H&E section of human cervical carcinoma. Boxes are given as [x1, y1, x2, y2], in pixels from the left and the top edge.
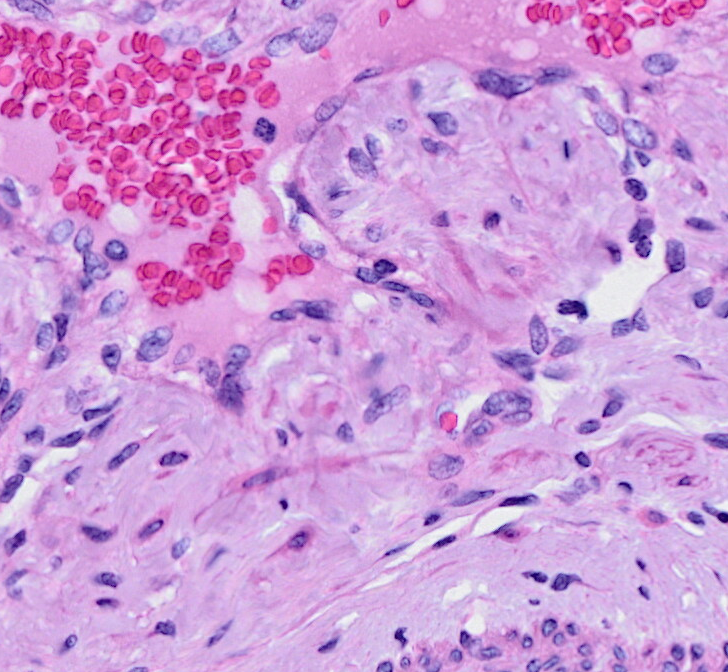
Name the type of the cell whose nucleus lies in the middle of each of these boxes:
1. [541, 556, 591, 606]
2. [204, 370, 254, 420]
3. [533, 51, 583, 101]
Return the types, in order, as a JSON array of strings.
["fibroblast", "endothelial cell", "endothelial cell"]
